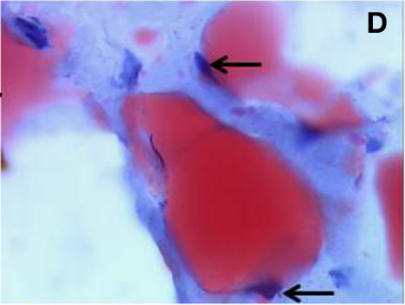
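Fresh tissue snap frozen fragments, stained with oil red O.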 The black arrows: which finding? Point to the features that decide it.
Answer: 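Migration of the nucleus beneath the cell membrane. Large red confluent lipid masses fill the cells. The arrows point to small flattened dark nuclei at the edge of these red masses.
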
